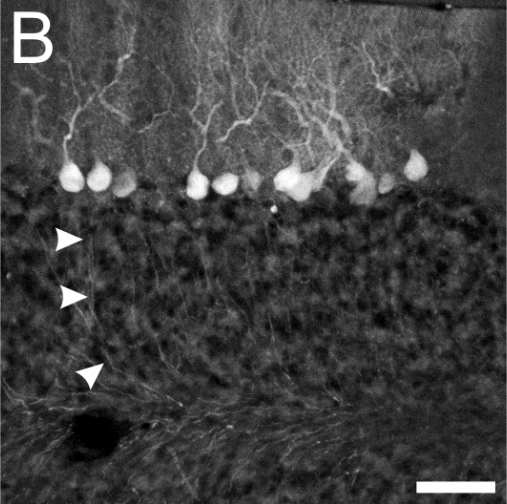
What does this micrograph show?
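This is cerebellar cortex with labelled Purkinje neurons. Their bright, rounded to flask-shaped cell bodies lie side by side in one row, marking the boundary between two layers. Below the row is the granular layer, dark and speckled with many small unlabelled cells. Through it run thin, faint, unbranched fibres heading downward from the cell bodies toward a band of fibres at the bottom; these are the axons. Not every cell in the row is equally bright.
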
